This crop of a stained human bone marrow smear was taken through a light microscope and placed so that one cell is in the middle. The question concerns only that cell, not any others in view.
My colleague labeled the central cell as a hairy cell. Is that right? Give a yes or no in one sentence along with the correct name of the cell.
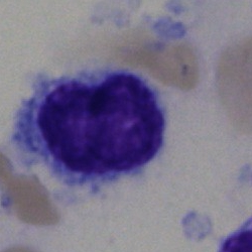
Yes, in the middle of the crop is a hairy cell.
